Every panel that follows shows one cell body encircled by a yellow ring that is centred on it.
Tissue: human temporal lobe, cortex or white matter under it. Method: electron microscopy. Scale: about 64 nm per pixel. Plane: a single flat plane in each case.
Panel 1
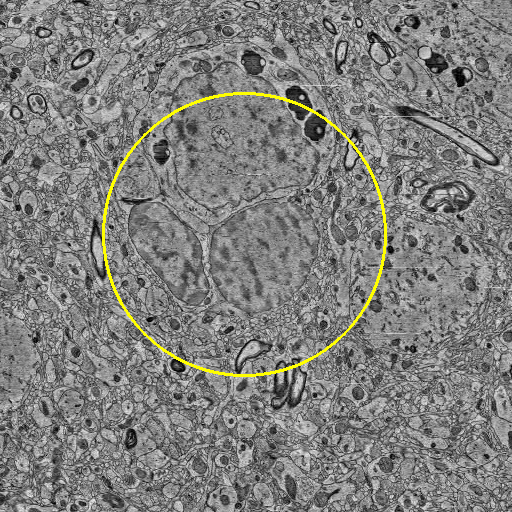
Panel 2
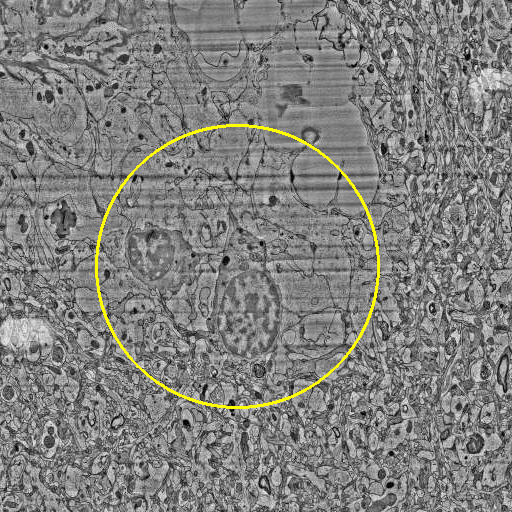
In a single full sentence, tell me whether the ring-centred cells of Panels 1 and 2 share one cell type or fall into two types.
In Panel 1 and Panel 2, the cells at the ring centres share one cell type.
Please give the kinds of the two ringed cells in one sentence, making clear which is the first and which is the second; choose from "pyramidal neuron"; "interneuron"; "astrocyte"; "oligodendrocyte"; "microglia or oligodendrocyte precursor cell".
In each picture the ringed cell is an oligodendrocyte.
